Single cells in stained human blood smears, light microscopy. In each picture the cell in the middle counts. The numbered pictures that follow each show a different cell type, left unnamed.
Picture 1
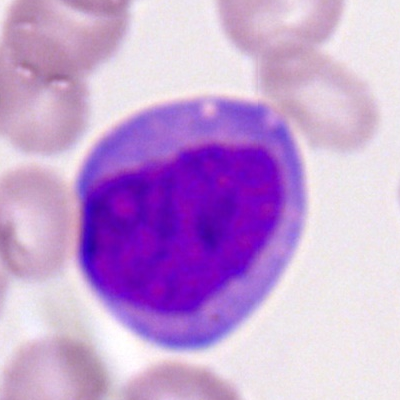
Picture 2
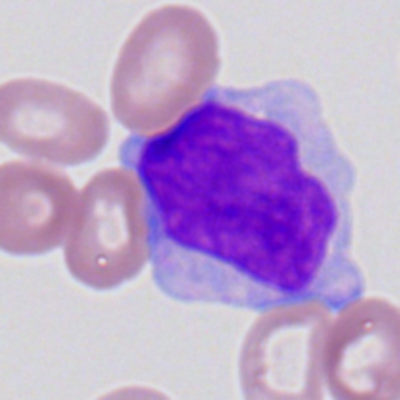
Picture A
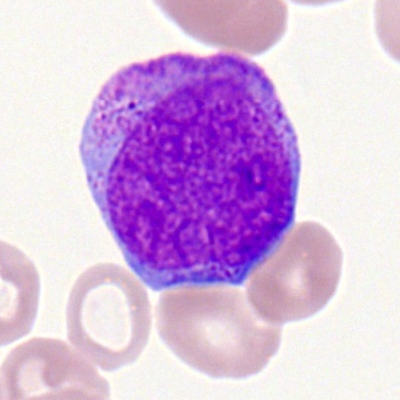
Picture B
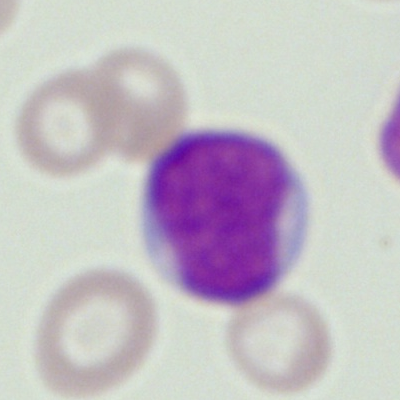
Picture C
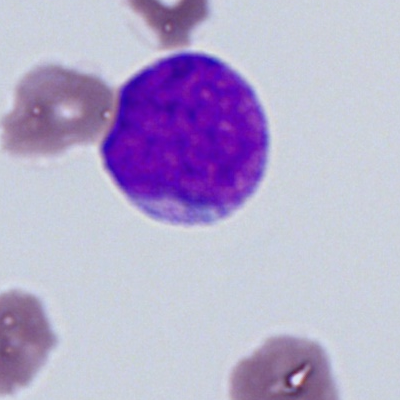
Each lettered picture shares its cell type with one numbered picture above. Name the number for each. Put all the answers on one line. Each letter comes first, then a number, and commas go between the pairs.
A 1, B 1, C 1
